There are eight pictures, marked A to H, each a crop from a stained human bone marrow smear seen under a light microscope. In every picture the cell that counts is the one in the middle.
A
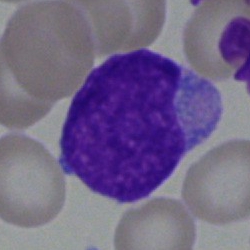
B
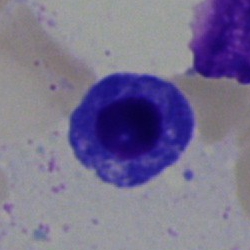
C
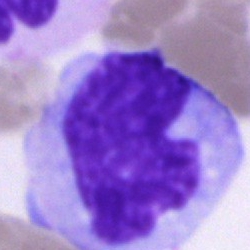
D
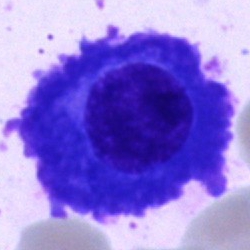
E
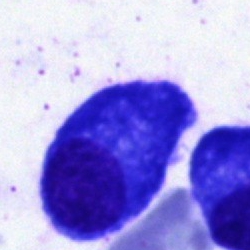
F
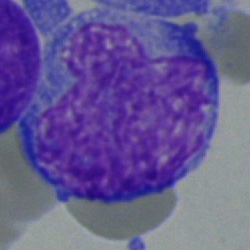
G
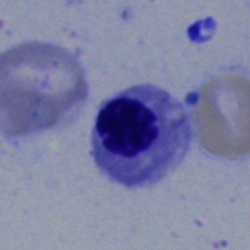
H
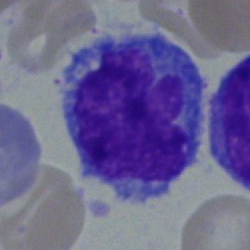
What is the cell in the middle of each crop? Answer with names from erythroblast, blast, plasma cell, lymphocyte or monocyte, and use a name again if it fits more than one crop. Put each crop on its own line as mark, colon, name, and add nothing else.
A: blast
B: plasma cell
C: monocyte
D: plasma cell
E: plasma cell
F: blast
G: erythroblast
H: monocyte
